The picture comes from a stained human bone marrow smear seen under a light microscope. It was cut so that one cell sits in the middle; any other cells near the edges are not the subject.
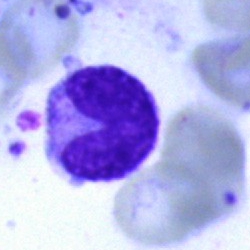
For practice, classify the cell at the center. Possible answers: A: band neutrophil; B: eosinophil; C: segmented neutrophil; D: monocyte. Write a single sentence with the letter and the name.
Option A is the keyed answer: the cell in the middle is a band neutrophil.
